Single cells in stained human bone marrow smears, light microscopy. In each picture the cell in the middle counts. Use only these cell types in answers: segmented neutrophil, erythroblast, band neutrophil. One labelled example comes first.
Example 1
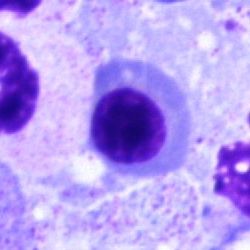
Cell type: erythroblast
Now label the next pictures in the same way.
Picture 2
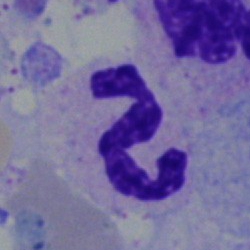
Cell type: segmented neutrophil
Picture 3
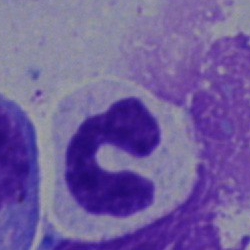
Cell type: segmented neutrophil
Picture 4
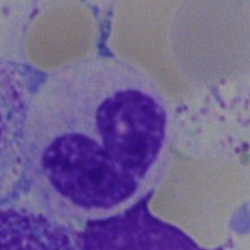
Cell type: band neutrophil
